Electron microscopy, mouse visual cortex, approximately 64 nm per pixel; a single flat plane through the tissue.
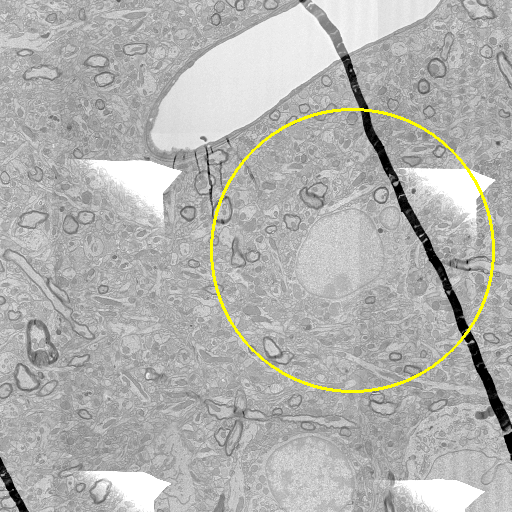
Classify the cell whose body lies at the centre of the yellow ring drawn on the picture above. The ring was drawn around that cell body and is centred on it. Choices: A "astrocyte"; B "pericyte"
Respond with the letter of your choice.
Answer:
A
